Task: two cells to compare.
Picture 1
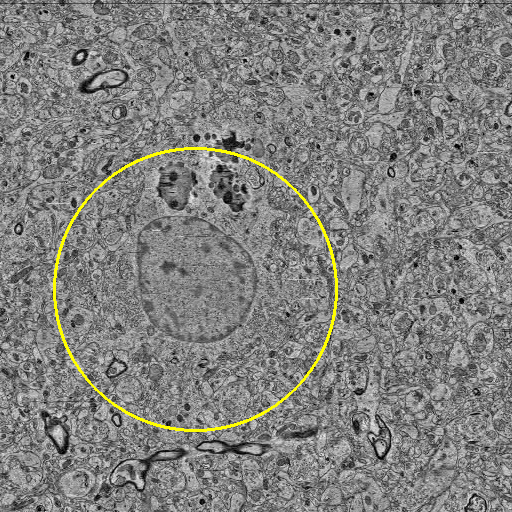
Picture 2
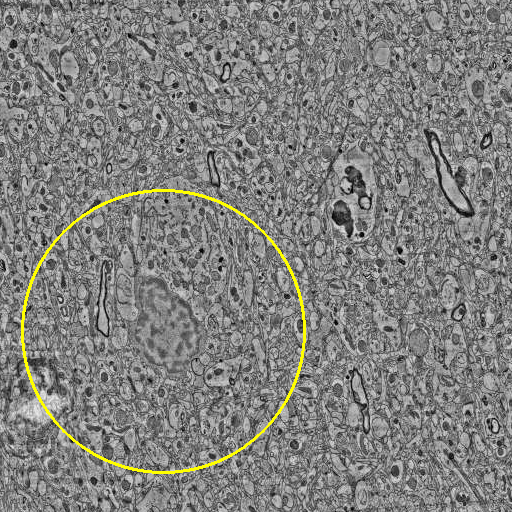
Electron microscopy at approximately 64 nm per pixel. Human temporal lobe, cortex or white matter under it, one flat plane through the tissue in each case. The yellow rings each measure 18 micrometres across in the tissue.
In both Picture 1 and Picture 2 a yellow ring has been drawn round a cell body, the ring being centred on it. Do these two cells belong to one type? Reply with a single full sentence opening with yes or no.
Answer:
No, the two cells at the ring centres in Picture 1 and Picture 2 are of two types.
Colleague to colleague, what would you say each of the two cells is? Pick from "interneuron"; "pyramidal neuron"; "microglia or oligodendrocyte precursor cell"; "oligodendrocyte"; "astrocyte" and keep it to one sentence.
The cell in the first picture is an astrocyte; the second picture's cell is an oligodendrocyte.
